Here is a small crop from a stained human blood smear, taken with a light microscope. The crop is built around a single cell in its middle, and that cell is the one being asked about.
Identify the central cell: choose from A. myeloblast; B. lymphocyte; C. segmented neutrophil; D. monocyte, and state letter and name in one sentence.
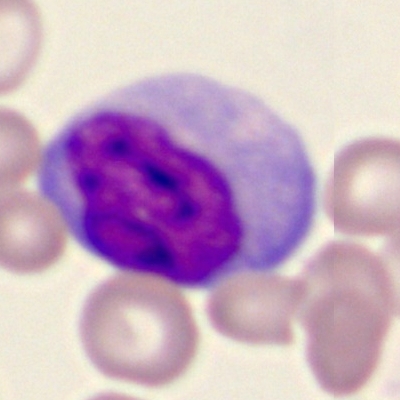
In this crop the central cell is a monocyte, which option D correctly states.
